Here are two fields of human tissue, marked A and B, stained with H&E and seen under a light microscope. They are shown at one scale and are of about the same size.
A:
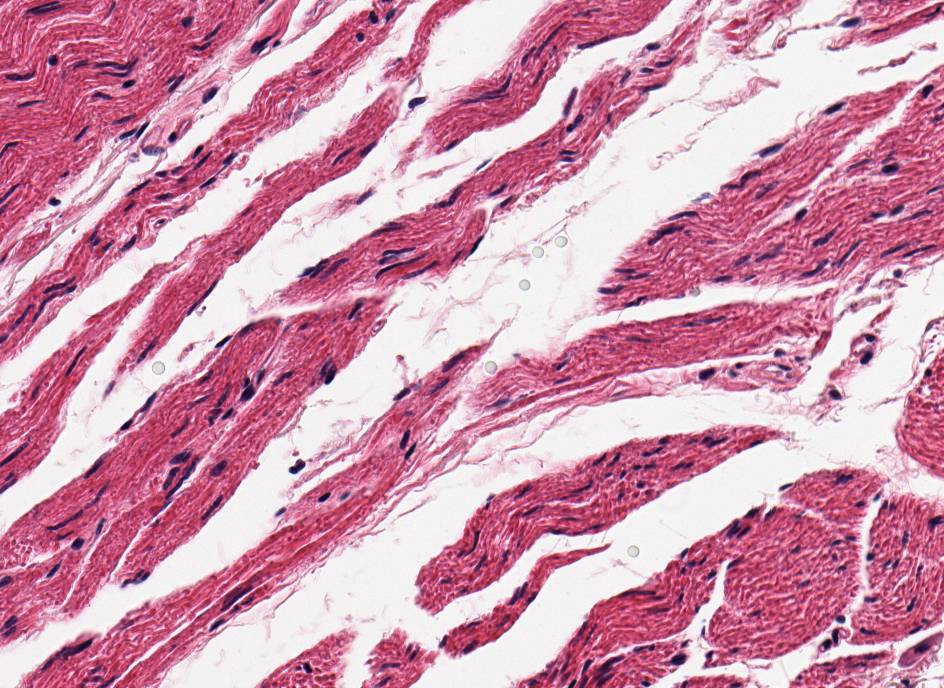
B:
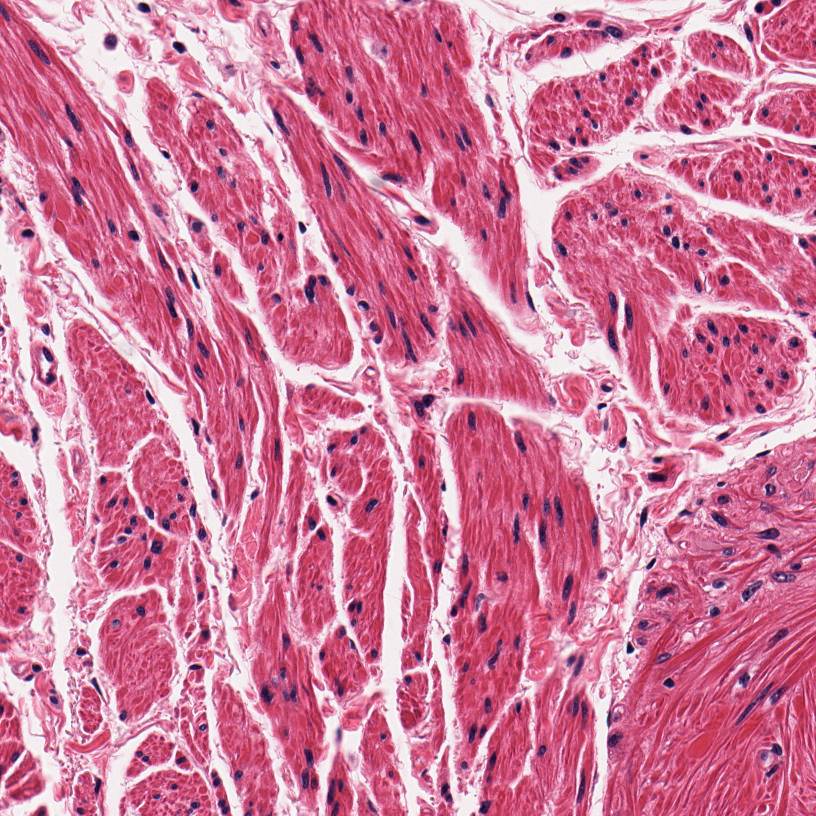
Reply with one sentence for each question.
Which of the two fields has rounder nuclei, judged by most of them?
On the whole the nuclei of field B are rounder than those of field A.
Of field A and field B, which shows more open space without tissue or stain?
It is field A in which white space covers the larger part.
